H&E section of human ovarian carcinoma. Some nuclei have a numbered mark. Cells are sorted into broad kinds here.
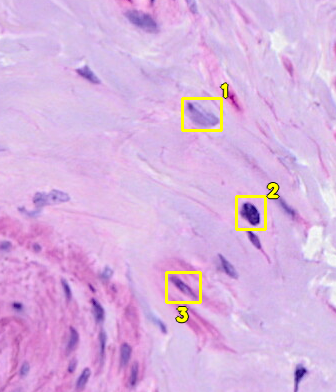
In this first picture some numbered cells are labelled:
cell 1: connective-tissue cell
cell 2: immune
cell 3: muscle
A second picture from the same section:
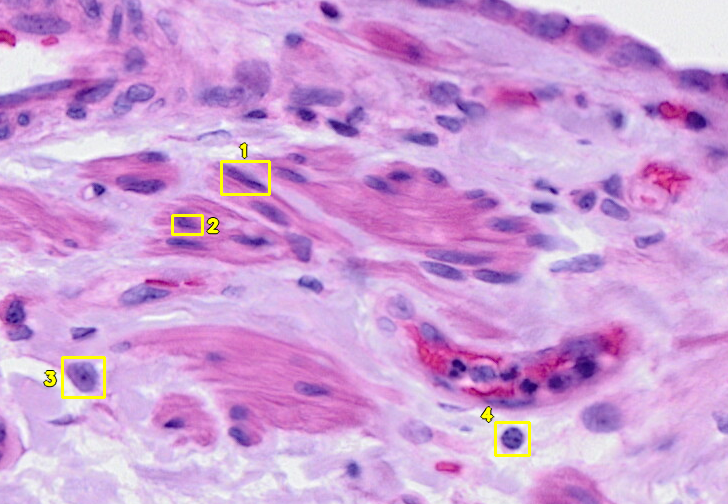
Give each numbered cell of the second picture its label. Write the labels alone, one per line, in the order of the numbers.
muscle
muscle
connective-tissue cell
immune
